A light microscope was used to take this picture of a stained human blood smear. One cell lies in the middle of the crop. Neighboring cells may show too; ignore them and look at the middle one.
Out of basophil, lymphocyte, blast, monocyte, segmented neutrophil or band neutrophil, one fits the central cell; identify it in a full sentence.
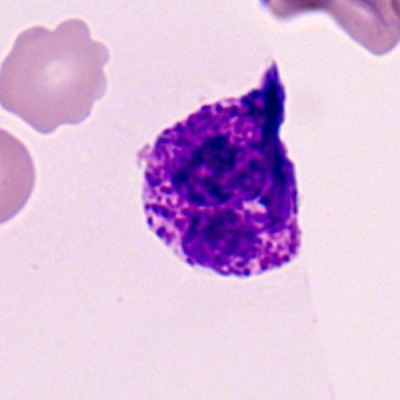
Classified as a basophil is the cell in the middle of this crop.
